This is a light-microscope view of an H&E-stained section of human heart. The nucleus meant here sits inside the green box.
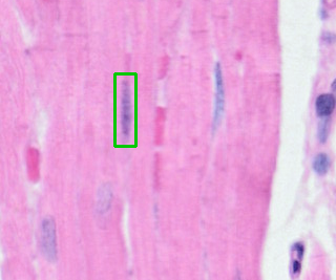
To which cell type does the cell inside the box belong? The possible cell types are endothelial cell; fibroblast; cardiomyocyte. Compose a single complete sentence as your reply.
In this field of tissue, the cell inside the box is an endothelial cell.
